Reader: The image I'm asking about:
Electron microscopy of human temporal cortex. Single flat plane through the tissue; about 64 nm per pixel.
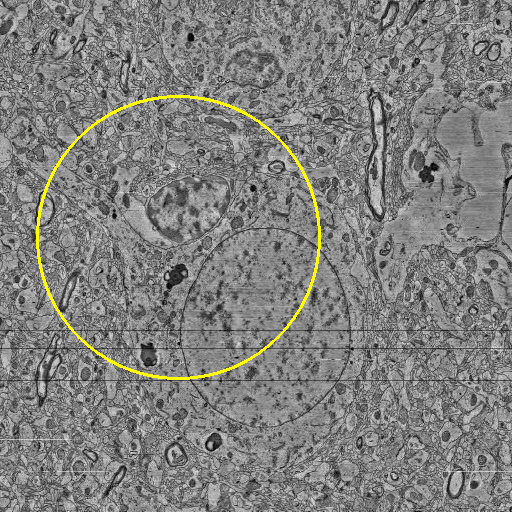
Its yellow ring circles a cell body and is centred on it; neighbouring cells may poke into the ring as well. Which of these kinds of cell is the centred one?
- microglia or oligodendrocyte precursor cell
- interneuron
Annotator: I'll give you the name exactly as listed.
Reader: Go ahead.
microglia or oligodendrocyte precursor cell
